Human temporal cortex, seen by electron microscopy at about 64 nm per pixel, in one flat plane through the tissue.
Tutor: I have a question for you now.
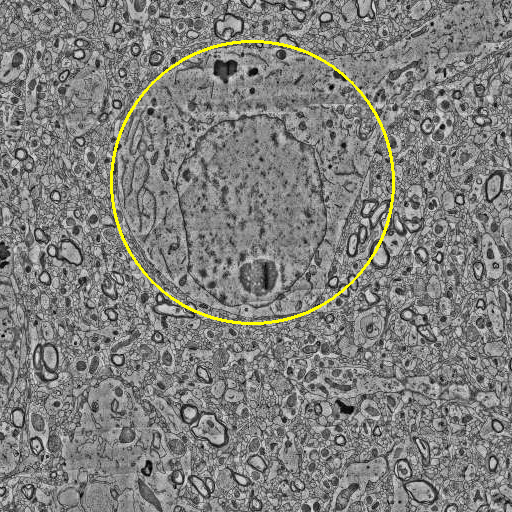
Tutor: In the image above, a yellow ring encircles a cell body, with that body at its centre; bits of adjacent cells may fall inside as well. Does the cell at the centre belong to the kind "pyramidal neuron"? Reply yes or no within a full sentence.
Yes, the cell at the centre of the yellow ring in the picture is of that kind.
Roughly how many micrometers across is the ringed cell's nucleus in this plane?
The nucleus appears roughly 12 by 10 micrometres in this plane.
